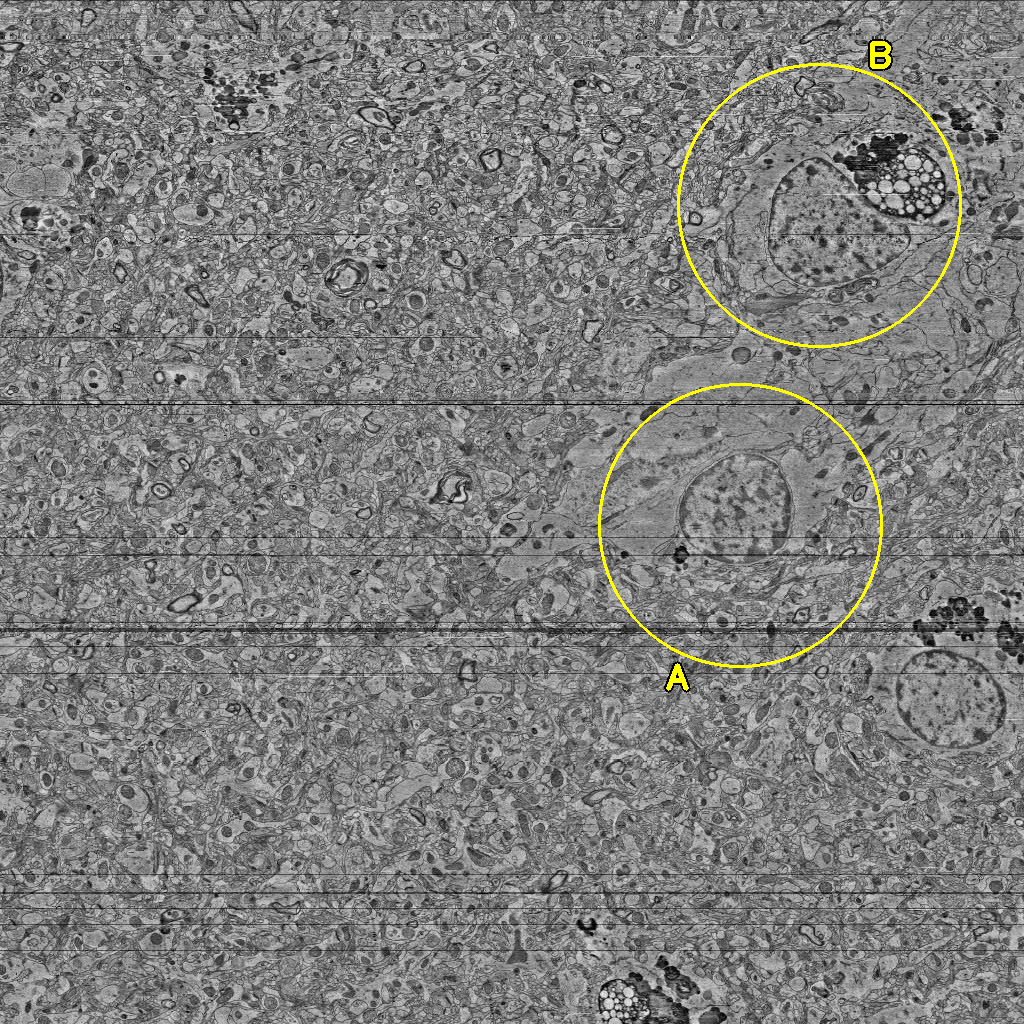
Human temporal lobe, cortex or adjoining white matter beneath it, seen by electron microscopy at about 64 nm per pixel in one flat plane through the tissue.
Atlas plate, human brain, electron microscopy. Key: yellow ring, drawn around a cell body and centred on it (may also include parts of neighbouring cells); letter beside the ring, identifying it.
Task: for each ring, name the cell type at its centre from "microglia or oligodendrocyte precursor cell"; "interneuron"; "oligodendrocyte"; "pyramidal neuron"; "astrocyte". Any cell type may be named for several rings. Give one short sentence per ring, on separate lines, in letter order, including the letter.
Ring A is centred over a microglial cell or oligodendrocyte precursor cell.
Ring B is centred over an astrocyte.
